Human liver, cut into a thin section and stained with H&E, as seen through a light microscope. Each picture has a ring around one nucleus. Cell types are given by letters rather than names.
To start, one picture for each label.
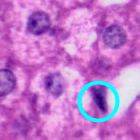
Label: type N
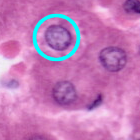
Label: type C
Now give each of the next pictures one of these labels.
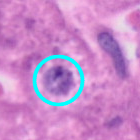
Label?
type C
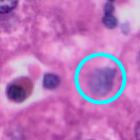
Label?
type N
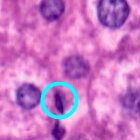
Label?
type N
